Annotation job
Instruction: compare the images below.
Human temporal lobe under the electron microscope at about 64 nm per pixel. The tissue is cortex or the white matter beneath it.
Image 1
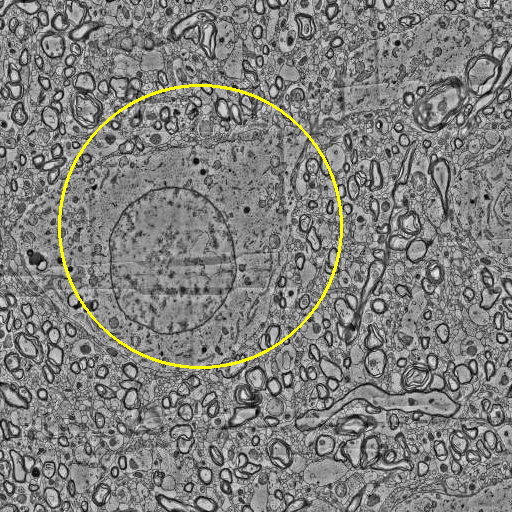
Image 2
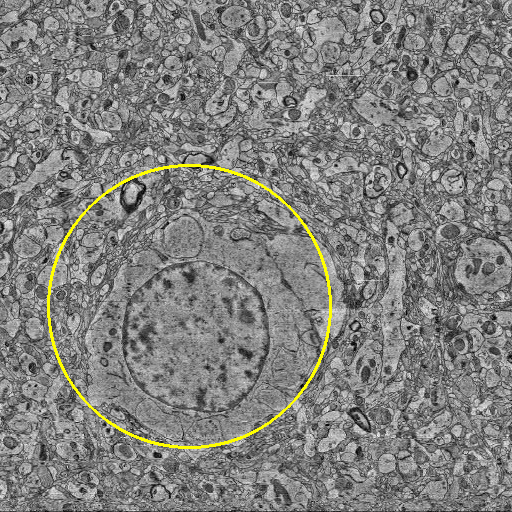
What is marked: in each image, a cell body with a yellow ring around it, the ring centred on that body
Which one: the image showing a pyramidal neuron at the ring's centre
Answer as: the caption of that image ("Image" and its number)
Image 1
